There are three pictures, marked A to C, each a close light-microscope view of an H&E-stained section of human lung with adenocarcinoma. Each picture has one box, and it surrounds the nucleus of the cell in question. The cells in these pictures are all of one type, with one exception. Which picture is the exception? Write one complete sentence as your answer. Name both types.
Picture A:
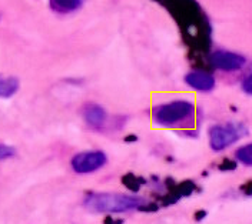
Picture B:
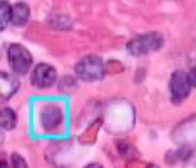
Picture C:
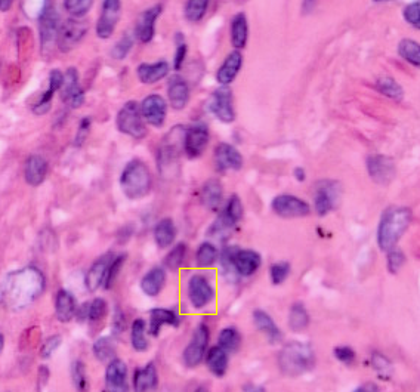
Picture A differs, because its cell is a plasma cell and the rest are lymphocytes.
